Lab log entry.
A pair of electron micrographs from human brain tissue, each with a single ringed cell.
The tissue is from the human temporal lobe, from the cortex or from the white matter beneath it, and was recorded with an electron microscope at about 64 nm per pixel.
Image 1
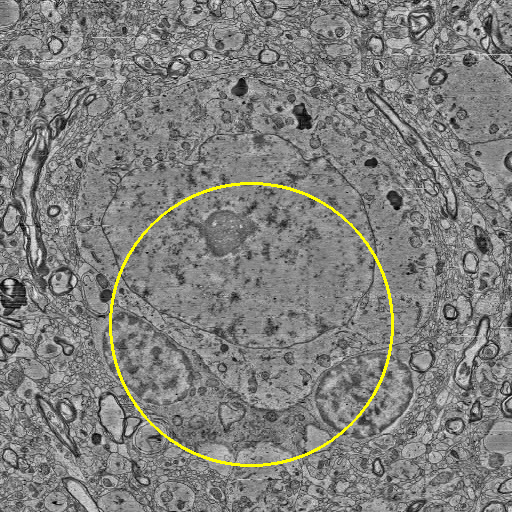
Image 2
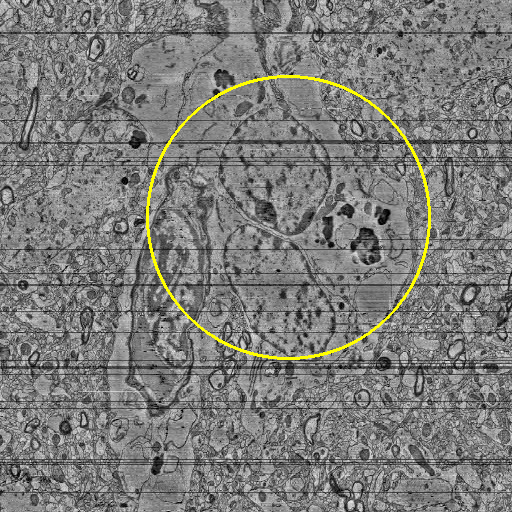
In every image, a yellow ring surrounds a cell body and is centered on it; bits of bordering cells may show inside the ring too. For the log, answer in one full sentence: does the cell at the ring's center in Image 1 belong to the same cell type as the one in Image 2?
No, the cells at the ring centers in Image 1 and Image 2 are of separate types.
